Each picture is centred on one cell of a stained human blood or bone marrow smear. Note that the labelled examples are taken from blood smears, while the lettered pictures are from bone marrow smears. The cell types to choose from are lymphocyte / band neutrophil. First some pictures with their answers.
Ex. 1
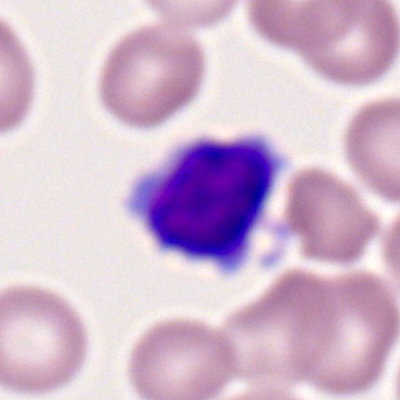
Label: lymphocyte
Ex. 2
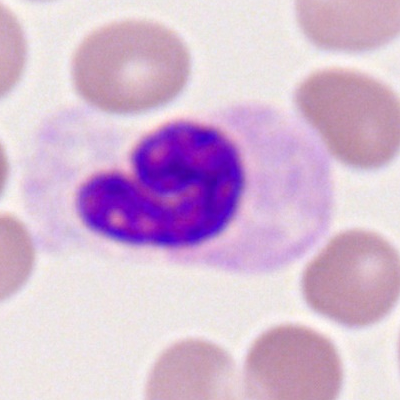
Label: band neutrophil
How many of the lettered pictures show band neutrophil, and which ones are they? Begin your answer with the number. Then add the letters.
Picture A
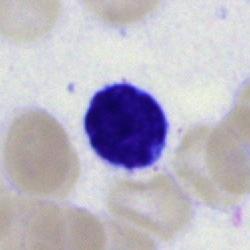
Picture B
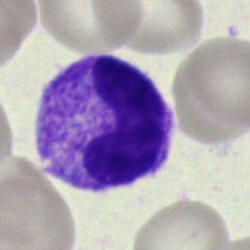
Count: 1 (B)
